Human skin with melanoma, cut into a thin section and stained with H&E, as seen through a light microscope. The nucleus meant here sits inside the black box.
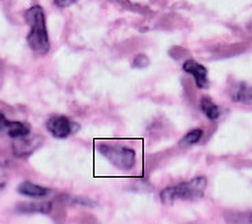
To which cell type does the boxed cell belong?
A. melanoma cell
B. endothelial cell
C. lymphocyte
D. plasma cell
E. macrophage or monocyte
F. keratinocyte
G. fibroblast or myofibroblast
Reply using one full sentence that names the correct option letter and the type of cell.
Option G is right, and the boxed cell is a fibroblast or myofibroblast.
